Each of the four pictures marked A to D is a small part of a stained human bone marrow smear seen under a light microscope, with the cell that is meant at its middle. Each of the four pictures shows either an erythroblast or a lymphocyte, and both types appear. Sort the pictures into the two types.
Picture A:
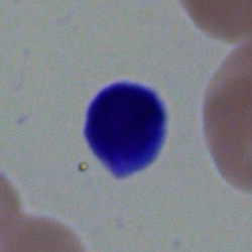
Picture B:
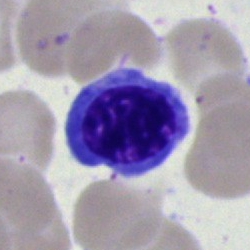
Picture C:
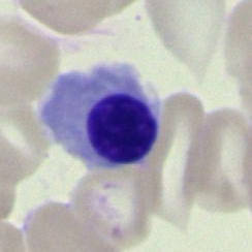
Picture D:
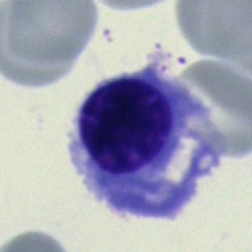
A: lymphocyte
B: erythroblast
C: erythroblast
D: erythroblast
